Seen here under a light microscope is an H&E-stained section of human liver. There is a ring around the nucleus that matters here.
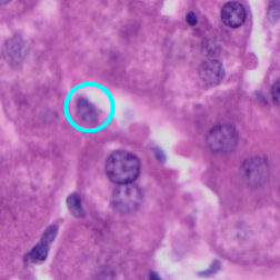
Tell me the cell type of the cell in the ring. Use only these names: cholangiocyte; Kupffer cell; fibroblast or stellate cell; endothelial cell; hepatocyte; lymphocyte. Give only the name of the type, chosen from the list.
Kupffer cell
